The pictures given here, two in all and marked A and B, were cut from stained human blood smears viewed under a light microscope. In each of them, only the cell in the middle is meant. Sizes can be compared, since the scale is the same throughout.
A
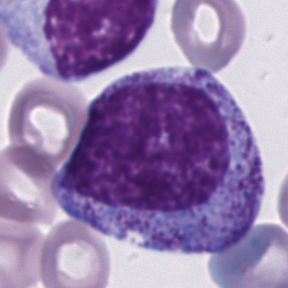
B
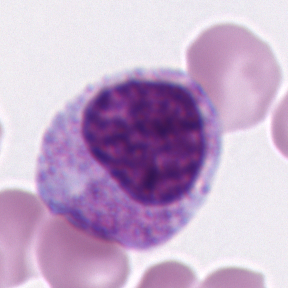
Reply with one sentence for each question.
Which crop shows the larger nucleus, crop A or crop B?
Larger is the nucleus in crop A, at roughly 1.5 times the area of the other.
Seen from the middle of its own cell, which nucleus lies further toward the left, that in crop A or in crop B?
It is the nucleus in crop A that lies further toward the left of its cell.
